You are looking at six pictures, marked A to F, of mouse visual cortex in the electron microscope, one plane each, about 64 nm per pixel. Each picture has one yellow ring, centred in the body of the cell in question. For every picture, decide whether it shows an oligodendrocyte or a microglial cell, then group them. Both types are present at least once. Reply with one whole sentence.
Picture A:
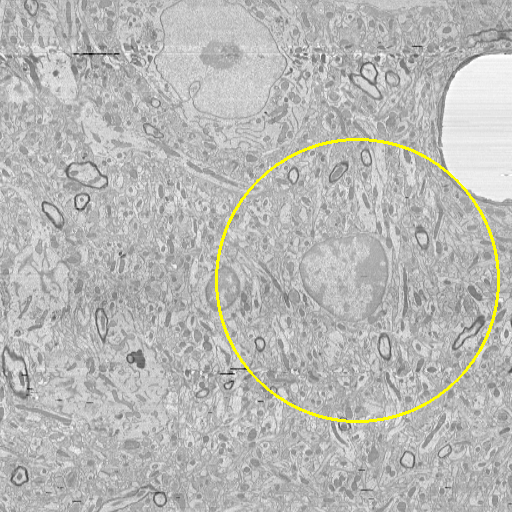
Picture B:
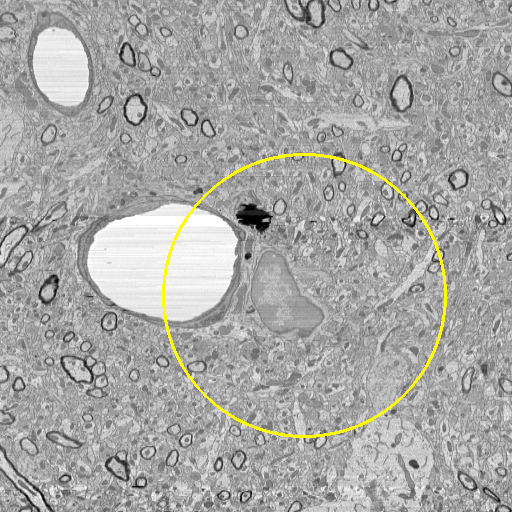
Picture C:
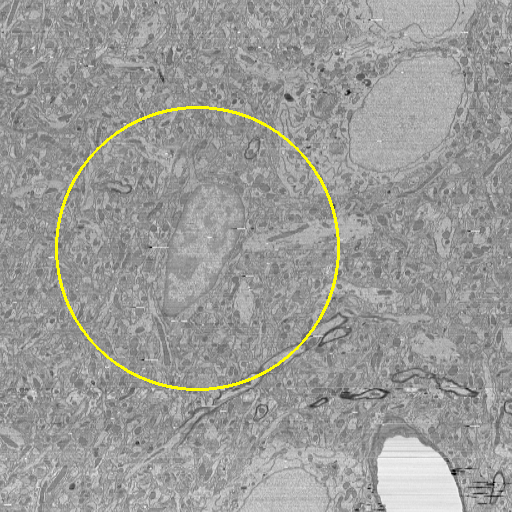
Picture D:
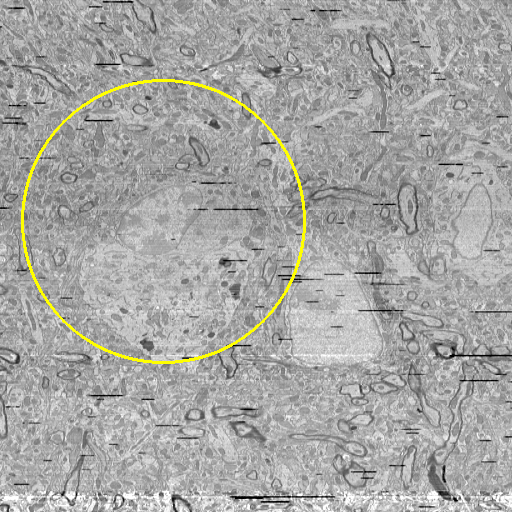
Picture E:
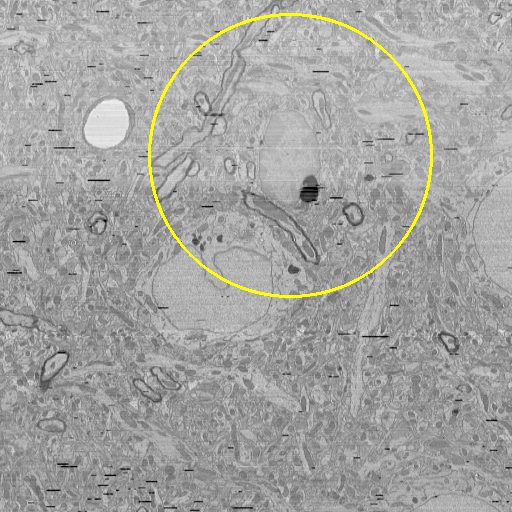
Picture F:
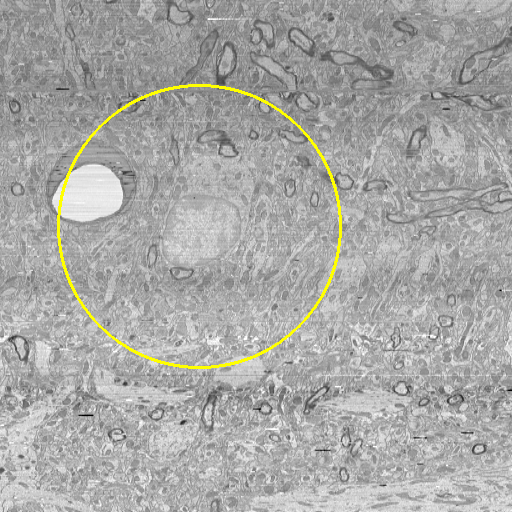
Pictures A, C, D and F show oligodendrocytes; pictures B and E show microglial cells.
